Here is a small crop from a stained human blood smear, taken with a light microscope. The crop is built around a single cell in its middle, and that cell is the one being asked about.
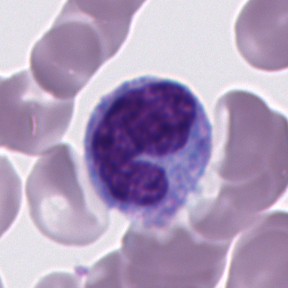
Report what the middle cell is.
monocyte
